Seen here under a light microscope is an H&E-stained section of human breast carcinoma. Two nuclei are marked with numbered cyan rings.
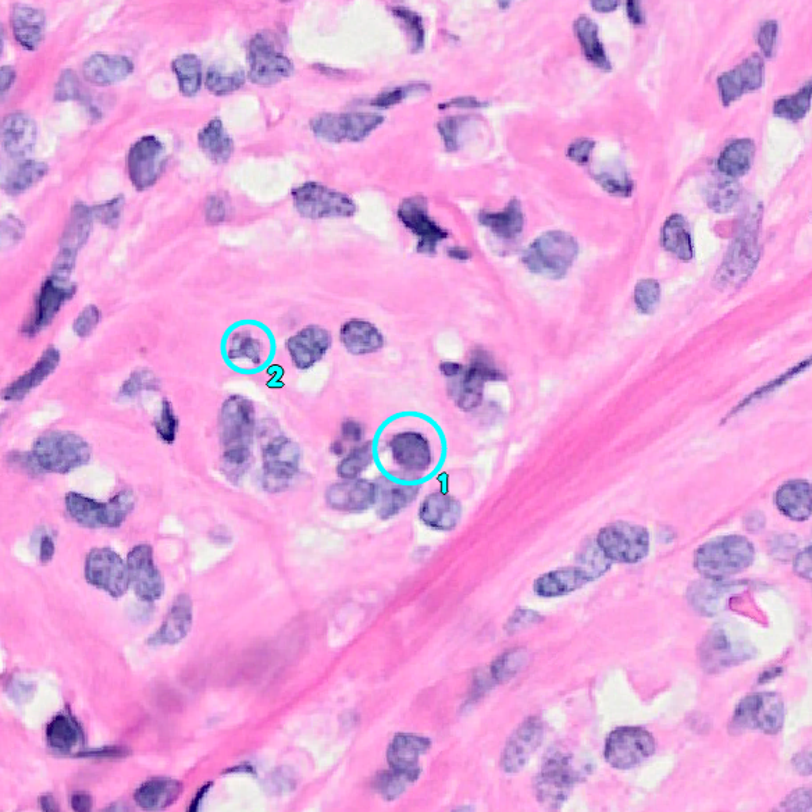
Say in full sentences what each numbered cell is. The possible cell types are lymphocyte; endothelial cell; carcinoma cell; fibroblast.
Cell 1 is a carcinoma cell. Cell 2 is an endothelial cell.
